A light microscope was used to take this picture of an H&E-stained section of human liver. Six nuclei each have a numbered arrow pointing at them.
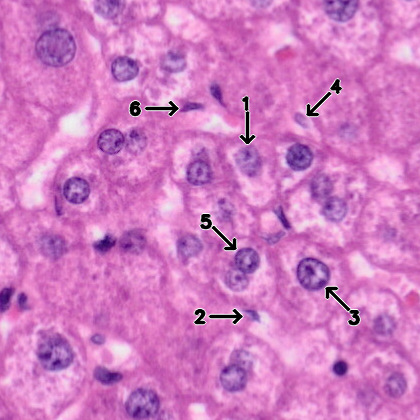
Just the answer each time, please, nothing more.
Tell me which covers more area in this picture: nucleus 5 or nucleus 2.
5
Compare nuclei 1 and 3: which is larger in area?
3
